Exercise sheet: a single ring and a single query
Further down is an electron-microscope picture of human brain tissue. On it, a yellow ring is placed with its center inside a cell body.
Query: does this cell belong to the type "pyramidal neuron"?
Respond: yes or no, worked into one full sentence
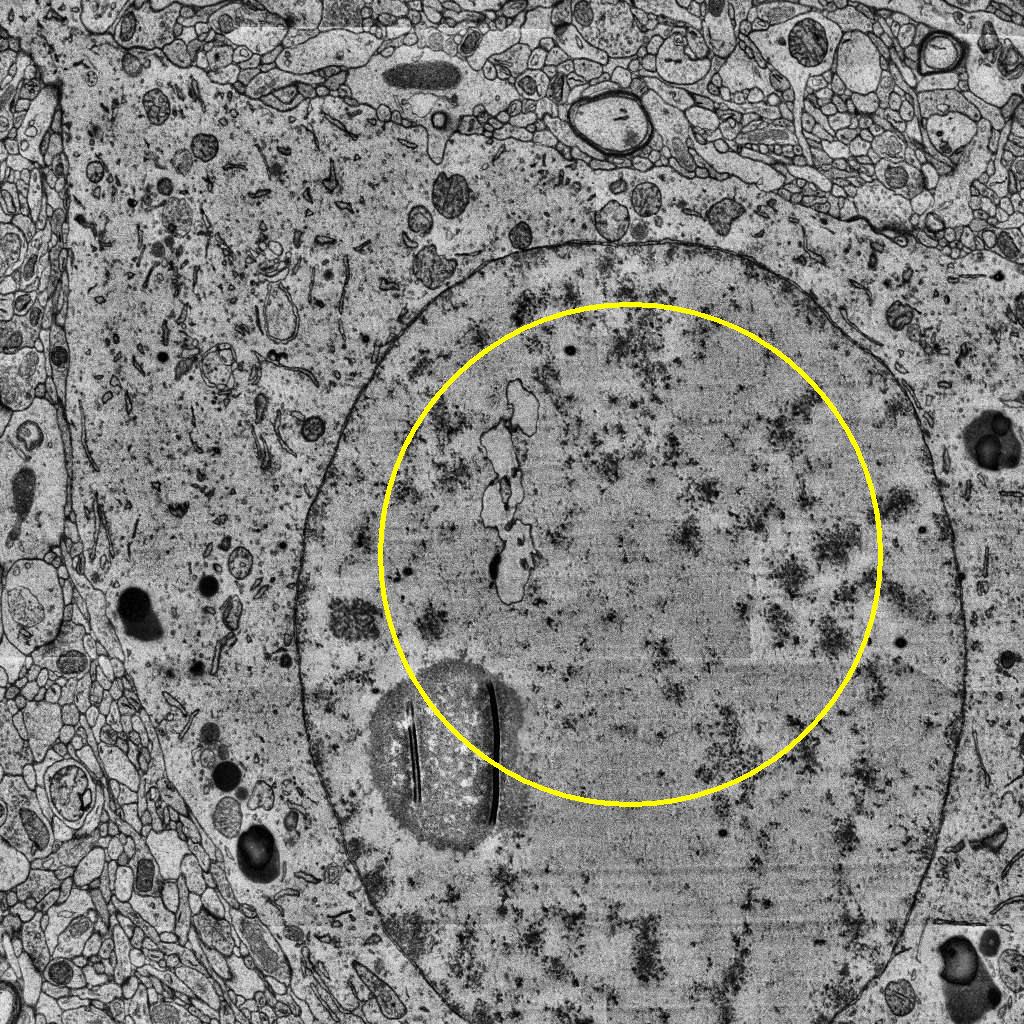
Yes, this cell, found at the center of the ring in the picture, is of that type.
